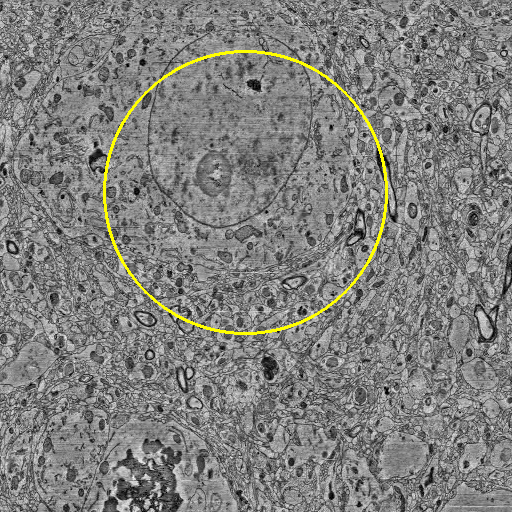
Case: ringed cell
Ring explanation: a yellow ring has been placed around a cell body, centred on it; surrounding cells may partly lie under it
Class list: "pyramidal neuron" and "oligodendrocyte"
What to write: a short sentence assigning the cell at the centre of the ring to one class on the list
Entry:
The cell at the ring's centre is a pyramidal neuron.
